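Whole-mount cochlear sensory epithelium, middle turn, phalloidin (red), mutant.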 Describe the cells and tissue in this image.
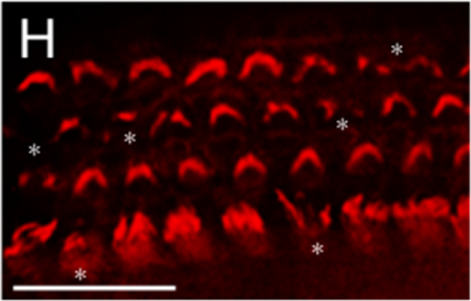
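Many outer hair cell bundles are misshapen, faint or broken, and some positions lack a clear bundle. The lower row of inner hair cell bundles is ragged, with some bundles splayed and drawn out into long strands.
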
